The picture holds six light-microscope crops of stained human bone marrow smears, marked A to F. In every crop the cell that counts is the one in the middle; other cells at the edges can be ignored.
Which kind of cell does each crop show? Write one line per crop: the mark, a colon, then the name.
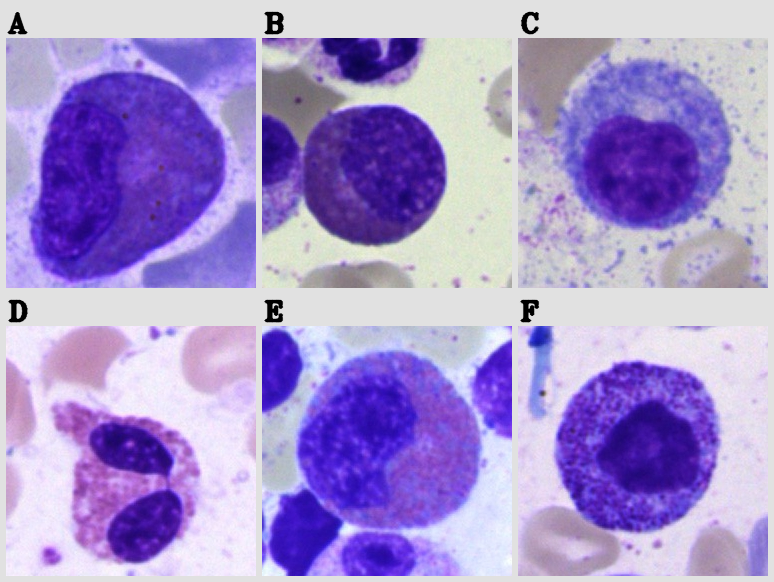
A: eosinophil
B: eosinophil
C: promyelocyte
D: eosinophil
E: eosinophil
F: promyelocyte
